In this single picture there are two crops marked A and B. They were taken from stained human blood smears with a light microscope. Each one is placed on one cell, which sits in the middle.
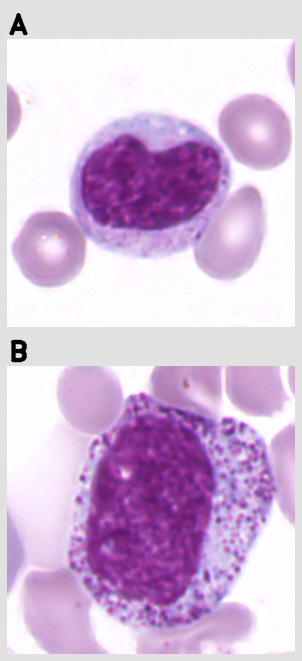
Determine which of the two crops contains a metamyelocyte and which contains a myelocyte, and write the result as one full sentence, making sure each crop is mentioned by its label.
The correct labels are a metamyelocyte for crop A and a myelocyte for crop B.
